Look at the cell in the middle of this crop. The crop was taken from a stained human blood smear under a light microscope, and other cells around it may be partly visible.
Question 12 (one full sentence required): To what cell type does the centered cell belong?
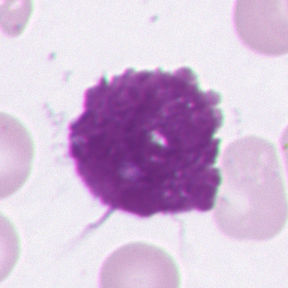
In the centre of this crop there is a smudge cell.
